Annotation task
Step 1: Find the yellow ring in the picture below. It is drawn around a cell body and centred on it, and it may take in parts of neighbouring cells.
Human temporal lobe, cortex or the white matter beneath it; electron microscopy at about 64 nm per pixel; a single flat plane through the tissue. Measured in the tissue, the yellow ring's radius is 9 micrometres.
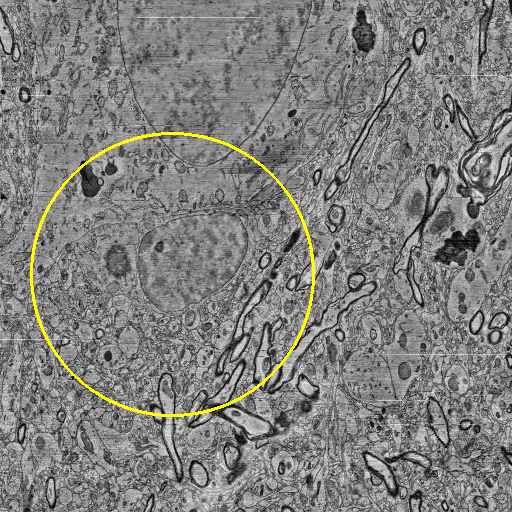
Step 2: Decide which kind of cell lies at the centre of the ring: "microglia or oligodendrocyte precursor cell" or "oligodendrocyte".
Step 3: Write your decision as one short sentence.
The kind of cell at the ring's centre is an oligodendrocyte.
